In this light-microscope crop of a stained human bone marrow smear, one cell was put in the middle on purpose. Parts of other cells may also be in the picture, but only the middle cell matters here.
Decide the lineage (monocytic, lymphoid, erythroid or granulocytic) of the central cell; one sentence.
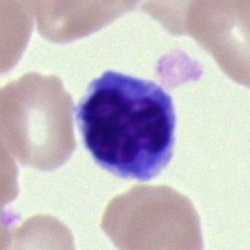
The cell found in the center of the crop is of the erythroid lineage.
